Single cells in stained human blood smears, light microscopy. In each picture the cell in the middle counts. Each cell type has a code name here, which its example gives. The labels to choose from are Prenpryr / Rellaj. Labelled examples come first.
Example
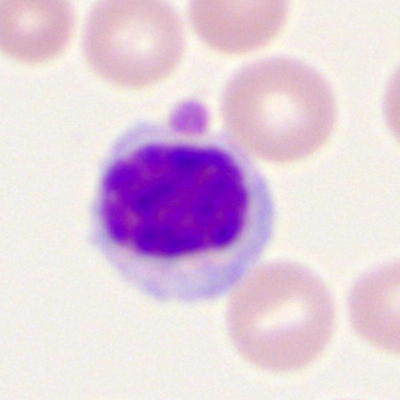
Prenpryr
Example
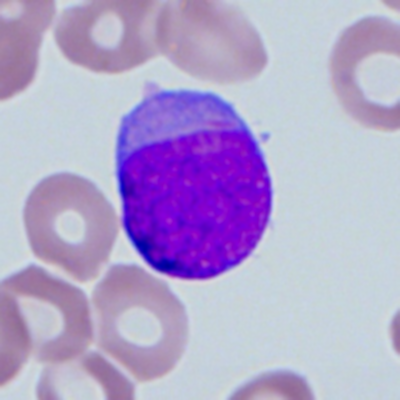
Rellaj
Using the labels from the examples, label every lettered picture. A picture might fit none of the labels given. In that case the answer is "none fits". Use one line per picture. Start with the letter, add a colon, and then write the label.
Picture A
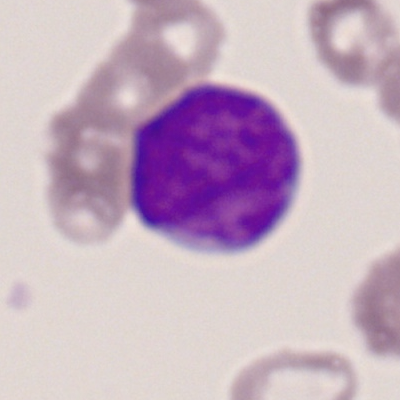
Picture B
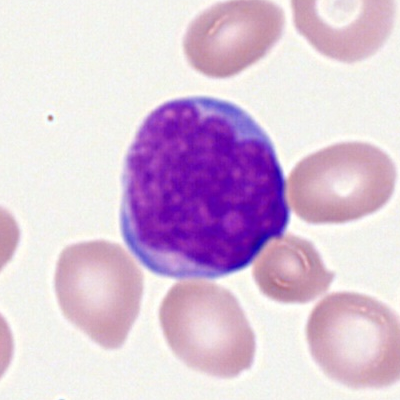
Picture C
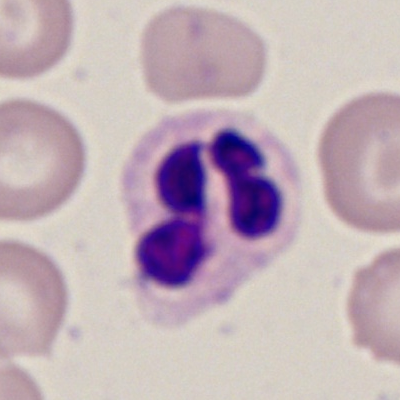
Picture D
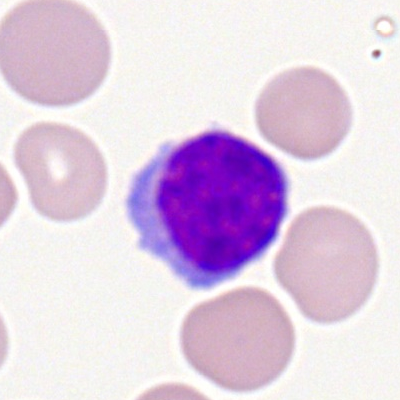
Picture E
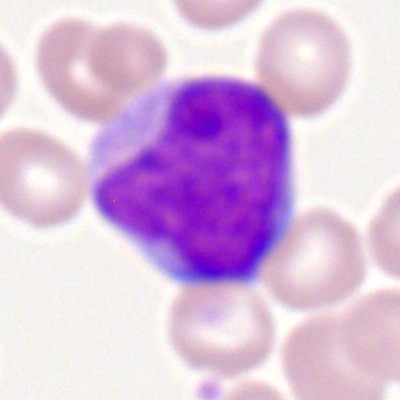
A: Rellaj
B: Rellaj
C: none fits
D: Prenpryr
E: Rellaj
